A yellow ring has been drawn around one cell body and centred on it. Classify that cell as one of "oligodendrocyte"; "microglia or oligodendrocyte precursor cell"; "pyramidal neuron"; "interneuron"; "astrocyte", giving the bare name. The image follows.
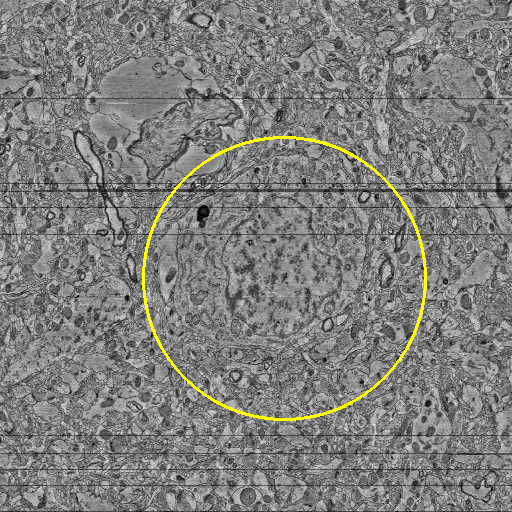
interneuron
